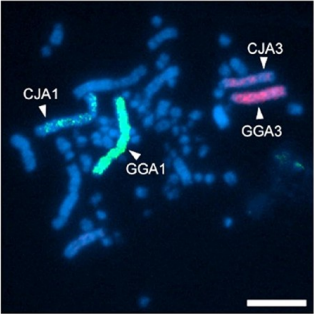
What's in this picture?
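This is a metaphase spread of chromosomes stained blue, with a few chromosomes lit up along their length by green or red paint. Long rod-shaped chromosomes lie among many small dot-like ones. One long chromosome is painted bright green and a shorter one more faintly green and speckled; similarly two red-painted chromosomes lie side by side, one brighter than the other.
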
